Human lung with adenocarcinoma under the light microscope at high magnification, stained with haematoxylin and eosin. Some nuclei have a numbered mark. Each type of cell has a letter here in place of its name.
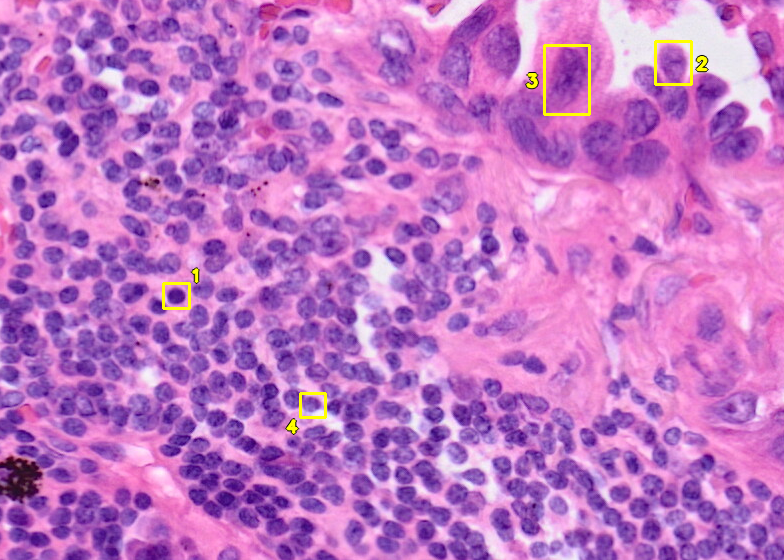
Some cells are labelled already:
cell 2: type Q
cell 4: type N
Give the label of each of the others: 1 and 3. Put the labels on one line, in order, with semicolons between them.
type N; type Q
